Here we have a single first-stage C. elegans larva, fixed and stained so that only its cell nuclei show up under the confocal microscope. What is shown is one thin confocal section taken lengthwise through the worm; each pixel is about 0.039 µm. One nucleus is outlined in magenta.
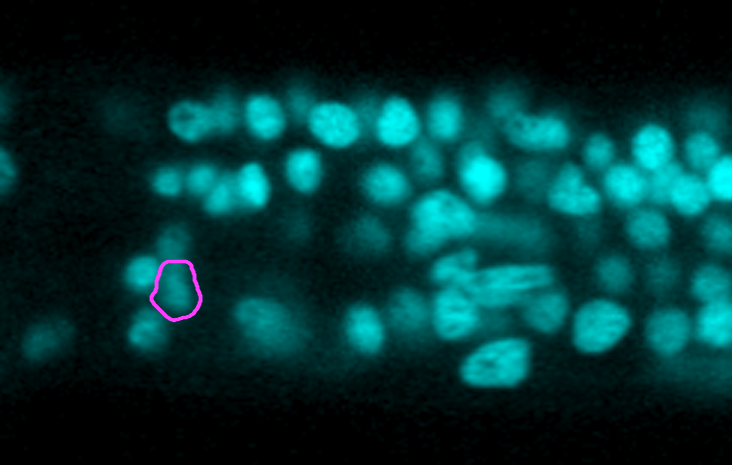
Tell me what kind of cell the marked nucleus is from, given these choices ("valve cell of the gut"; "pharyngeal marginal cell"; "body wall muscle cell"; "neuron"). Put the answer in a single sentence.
The marked nucleus is that of a valve cell of the gut.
